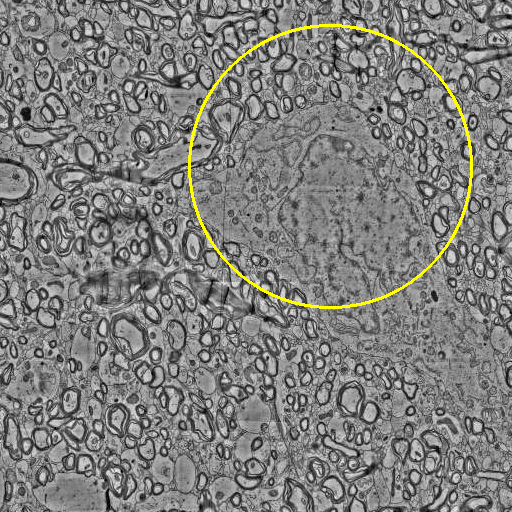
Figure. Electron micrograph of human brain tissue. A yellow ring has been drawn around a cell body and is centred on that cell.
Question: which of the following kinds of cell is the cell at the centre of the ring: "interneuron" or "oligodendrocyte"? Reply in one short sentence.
The cell at the centre of the ring is an interneuron.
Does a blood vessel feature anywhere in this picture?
No, no vessel shows anywhere in the image.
